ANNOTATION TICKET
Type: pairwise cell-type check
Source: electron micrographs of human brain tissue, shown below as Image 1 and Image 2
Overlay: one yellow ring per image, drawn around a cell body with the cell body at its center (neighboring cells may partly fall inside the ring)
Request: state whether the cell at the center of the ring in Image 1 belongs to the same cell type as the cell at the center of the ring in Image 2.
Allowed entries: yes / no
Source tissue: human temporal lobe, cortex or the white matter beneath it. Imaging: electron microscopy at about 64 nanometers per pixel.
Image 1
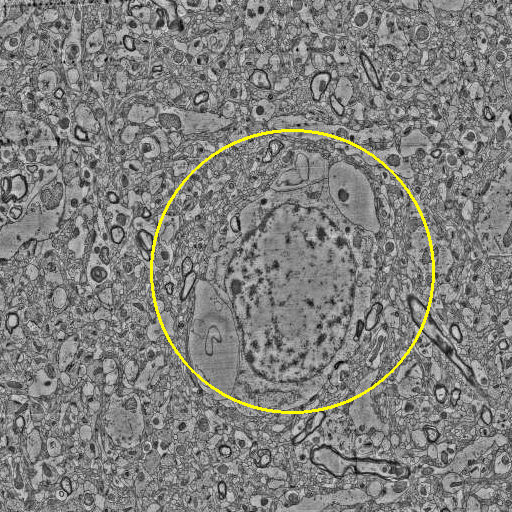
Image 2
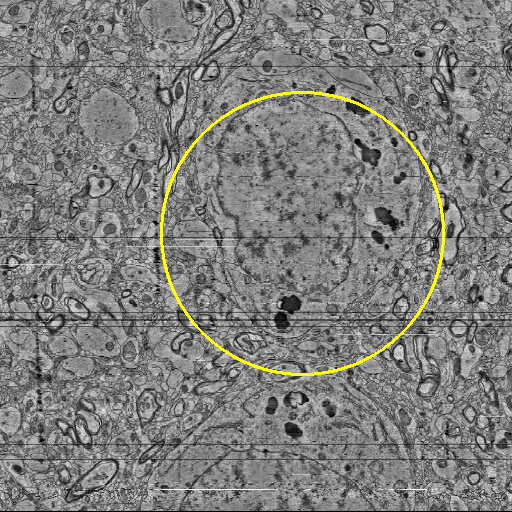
yes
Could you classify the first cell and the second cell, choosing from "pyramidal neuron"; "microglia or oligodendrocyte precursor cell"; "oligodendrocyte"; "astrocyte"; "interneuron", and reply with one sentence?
Each cell at the centre of a ring is an interneuron.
